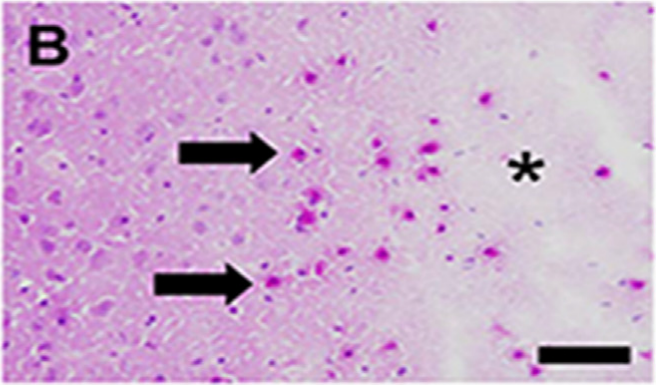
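This brain section shows gray matter with scattered neurons, several of which are red neurons, beside an area of neuropil vacuolation. On the left the neuropil is evenly pink and holds many pale neurons with faint outlines. Toward the middle and right, numerous small neurons are intensely bright pink-red, shrunken and angular. On the right the background becomes pale and loose, with a spongy, washed-out look. The red cells are scattered singly across the boundary between the denser tissue and the pale area.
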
